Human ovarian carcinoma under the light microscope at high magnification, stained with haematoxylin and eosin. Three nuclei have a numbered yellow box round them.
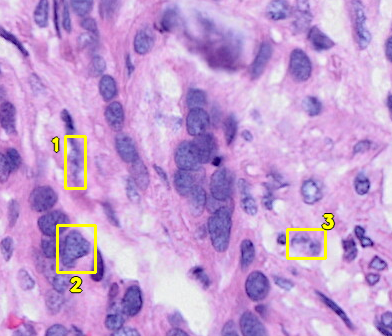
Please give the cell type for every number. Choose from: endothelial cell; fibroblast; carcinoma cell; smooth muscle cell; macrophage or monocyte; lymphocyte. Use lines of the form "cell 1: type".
cell 1: fibroblast
cell 2: carcinoma cell
cell 3: fibroblast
